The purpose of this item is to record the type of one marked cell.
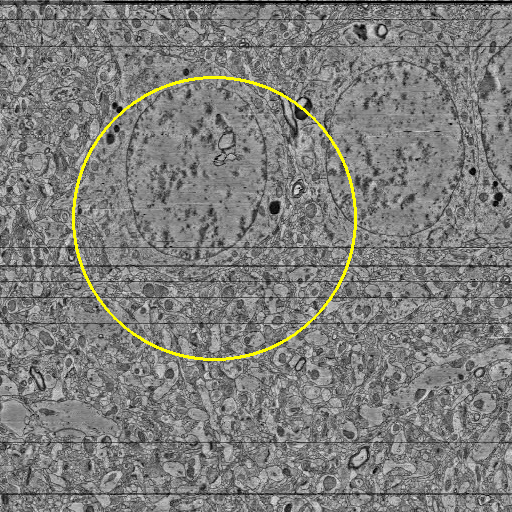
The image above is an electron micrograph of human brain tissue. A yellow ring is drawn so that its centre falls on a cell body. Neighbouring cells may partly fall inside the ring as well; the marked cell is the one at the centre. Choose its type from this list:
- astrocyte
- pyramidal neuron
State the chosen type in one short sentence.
What the ring marks here is a pyramidal neuron.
